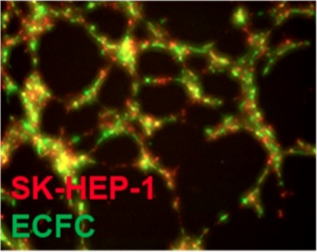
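The field shows cultured cells organised into a network of tube-like cords. Green and red cells lie intermingled along the cords, which often look yellow where the two colours overlap. The cords branch and meet at nodes, enclosing large, closed, roughly circular dark spaces. Few cells lie free outside the network.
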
